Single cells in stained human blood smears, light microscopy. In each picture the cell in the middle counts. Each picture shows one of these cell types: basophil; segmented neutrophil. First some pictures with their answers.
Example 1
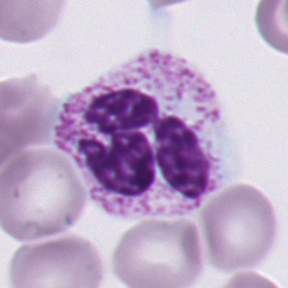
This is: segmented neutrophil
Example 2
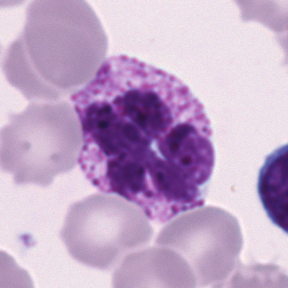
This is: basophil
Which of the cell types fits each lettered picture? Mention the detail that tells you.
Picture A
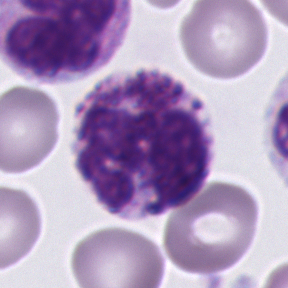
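basophil. Evidence: The granules are coarse and individually distinct.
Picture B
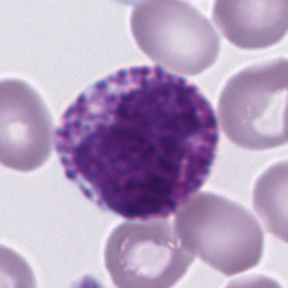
basophil. Evidence: The nucleus fills most of the cell and leaves a wider rim of cytoplasm on the upper left.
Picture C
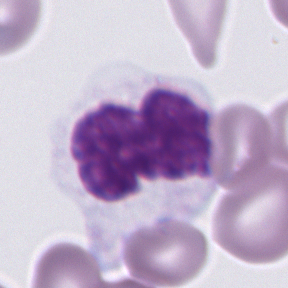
segmented neutrophil. Evidence: The cytoplasm is abundant and very pale greyish-blue.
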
